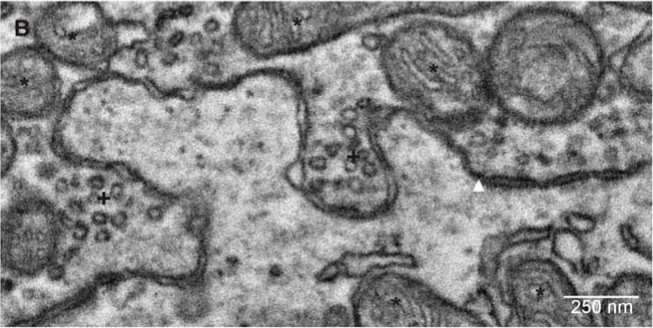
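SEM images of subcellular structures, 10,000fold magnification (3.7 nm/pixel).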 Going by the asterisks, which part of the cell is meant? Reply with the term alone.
Mitochondria.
